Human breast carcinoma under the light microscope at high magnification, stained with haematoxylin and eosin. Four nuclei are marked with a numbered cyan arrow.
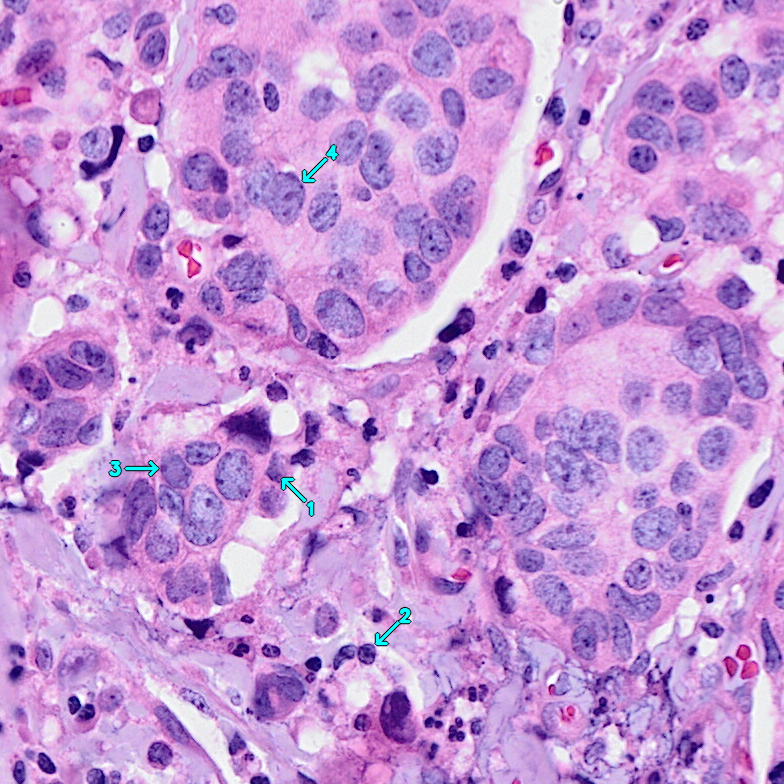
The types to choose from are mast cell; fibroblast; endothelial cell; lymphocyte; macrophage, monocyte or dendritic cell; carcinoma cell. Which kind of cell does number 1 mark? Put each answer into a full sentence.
The numbered cell 1 is identified here as a carcinoma cell.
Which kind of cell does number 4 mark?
The cell to which the number 4 is assigned is a carcinoma cell.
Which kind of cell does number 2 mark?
Belonging to a lymphocyte is the nucleus that carries the number 2.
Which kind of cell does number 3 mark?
The cell marked with number 3 is a carcinoma cell.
